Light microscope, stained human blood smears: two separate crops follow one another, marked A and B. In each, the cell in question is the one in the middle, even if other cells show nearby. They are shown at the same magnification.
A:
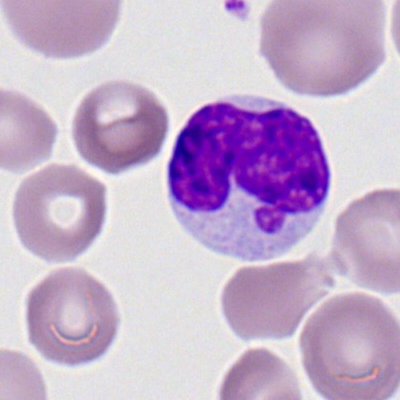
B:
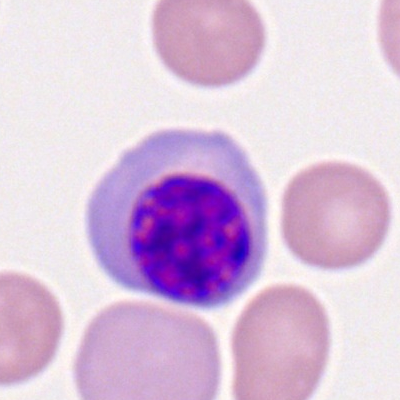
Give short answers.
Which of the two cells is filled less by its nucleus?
B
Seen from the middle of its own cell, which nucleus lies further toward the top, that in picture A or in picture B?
A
